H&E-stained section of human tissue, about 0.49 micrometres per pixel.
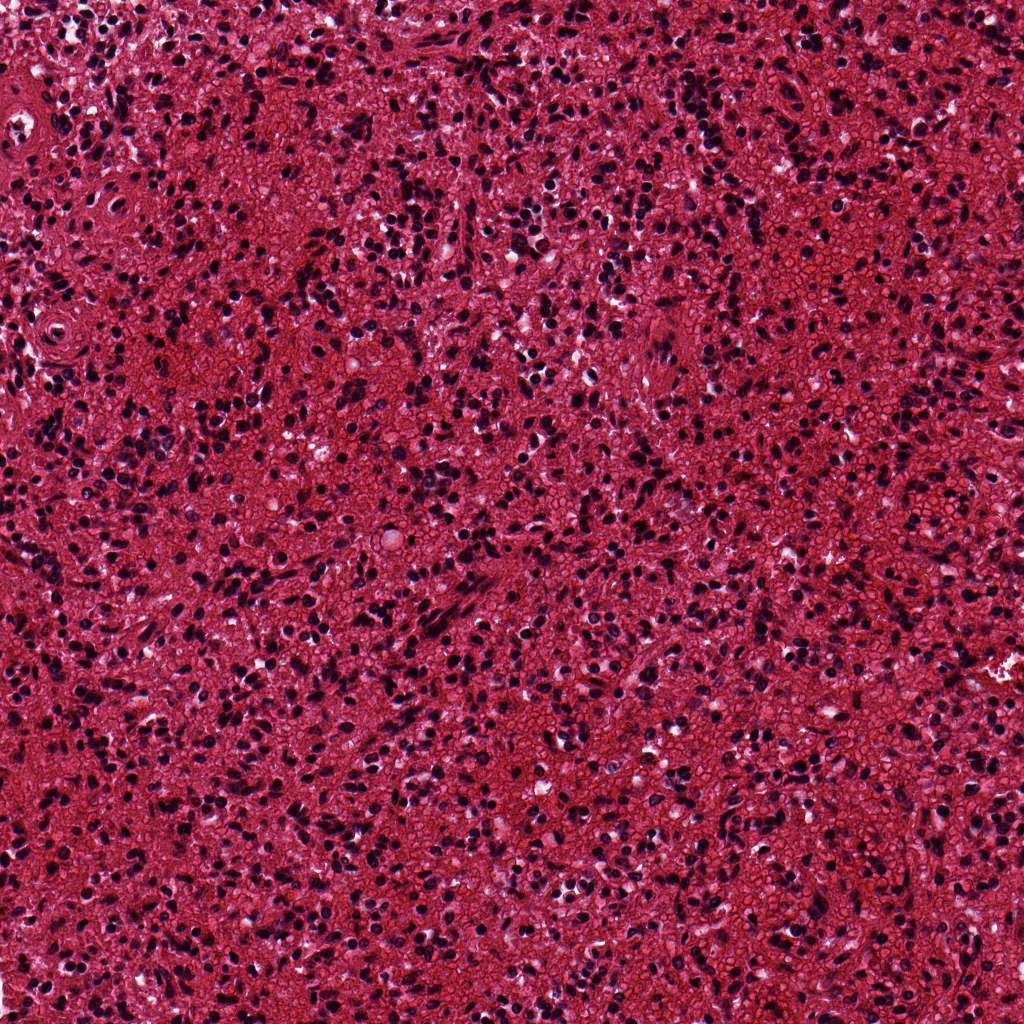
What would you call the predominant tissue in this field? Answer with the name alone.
red pulp of the spleen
